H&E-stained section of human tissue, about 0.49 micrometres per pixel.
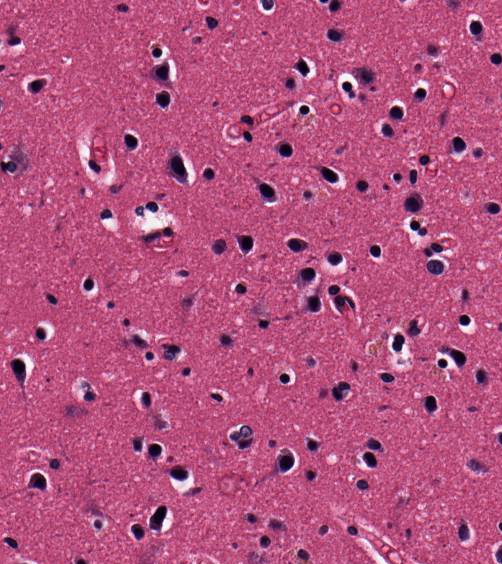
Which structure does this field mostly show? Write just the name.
cerebral cortex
